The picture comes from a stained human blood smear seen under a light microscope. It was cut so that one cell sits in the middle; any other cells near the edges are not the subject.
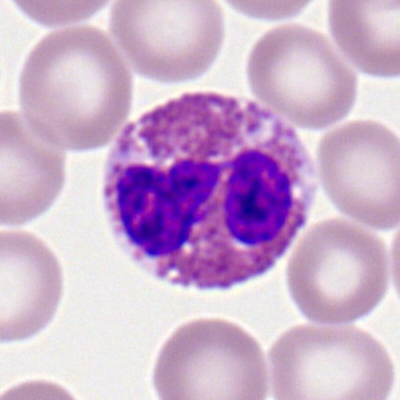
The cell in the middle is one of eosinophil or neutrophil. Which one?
eosinophil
